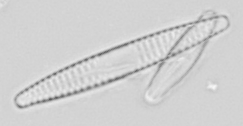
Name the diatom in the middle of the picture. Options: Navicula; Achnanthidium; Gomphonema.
Gomphonema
